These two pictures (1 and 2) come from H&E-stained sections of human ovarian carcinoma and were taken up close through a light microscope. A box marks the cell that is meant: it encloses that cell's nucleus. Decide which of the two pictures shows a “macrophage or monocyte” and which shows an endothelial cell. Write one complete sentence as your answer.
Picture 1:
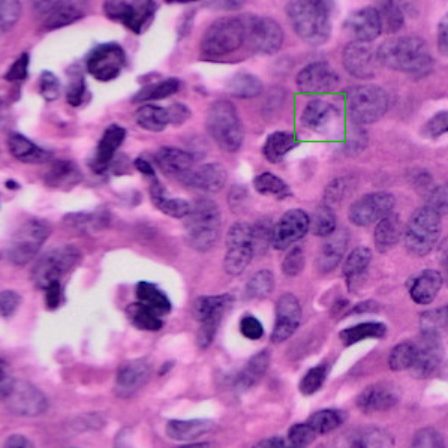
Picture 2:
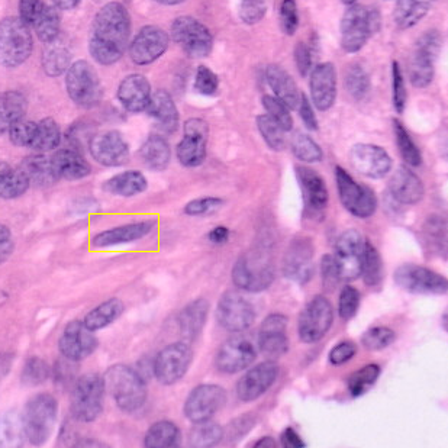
Picture 1 shows a “macrophage or monocyte” and picture 2 shows an endothelial cell.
